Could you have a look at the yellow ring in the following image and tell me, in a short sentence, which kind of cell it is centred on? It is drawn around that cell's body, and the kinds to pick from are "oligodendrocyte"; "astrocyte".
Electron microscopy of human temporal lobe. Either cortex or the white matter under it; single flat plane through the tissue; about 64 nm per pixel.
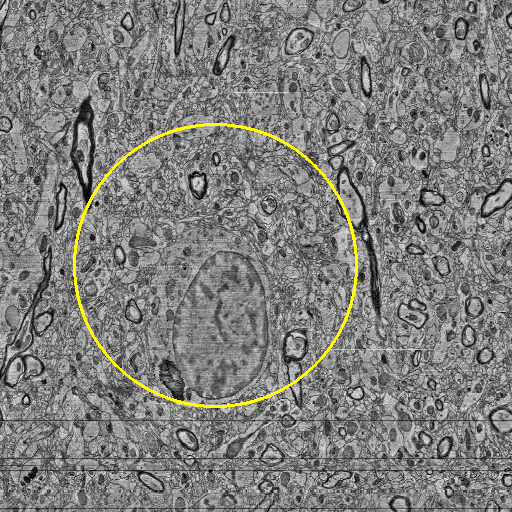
The ring is centred on the body of an oligodendrocyte.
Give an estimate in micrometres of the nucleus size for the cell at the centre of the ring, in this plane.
About 10 by 6 micrometers; the nucleus is clearly longer than it is wide in this plane.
